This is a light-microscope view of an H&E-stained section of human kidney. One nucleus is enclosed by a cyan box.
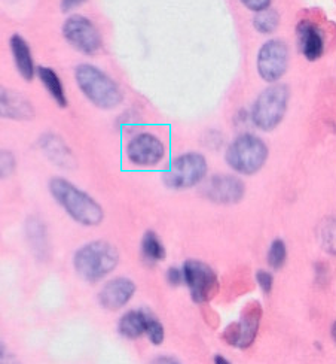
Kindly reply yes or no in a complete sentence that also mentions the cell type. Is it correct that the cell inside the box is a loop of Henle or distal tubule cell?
No, the cell inside the box is a collecting duct cell instead of a loop of Henle or distal tubule cell.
